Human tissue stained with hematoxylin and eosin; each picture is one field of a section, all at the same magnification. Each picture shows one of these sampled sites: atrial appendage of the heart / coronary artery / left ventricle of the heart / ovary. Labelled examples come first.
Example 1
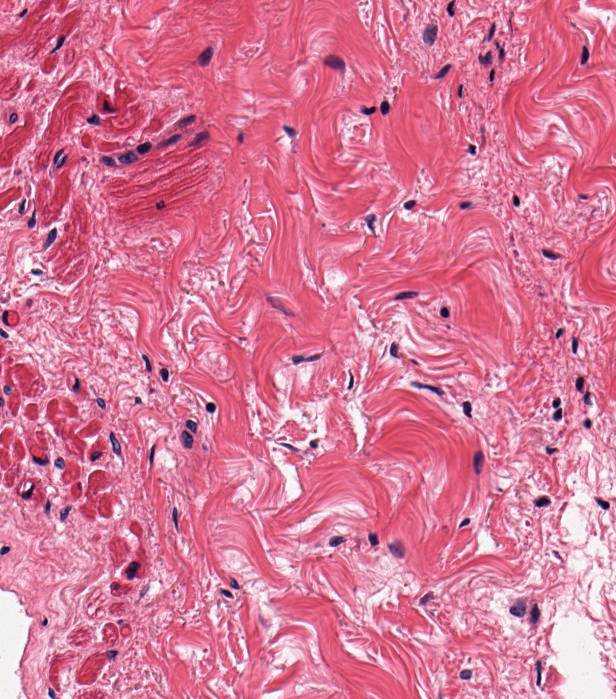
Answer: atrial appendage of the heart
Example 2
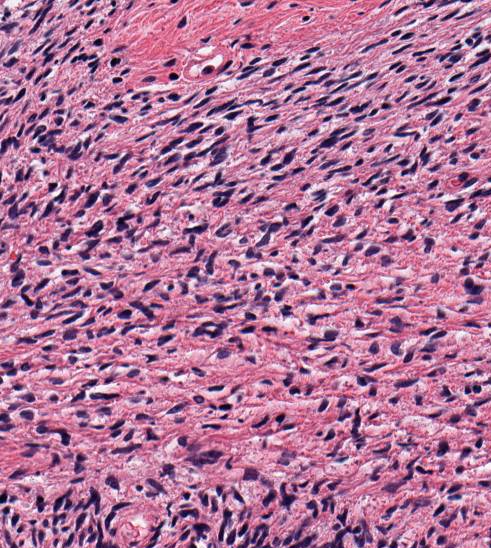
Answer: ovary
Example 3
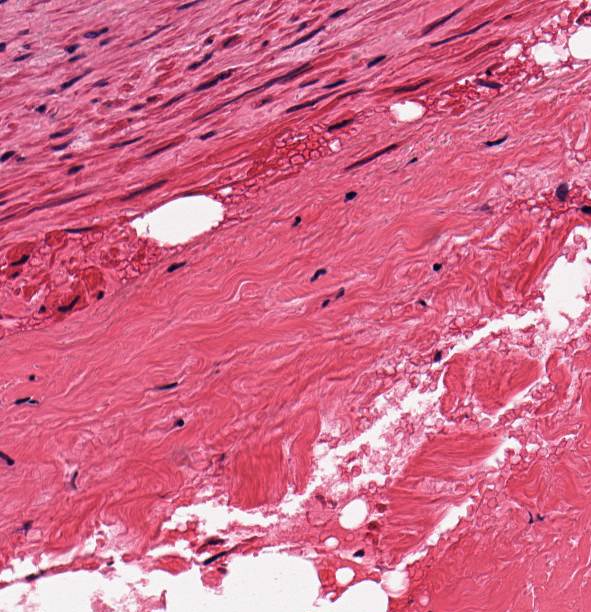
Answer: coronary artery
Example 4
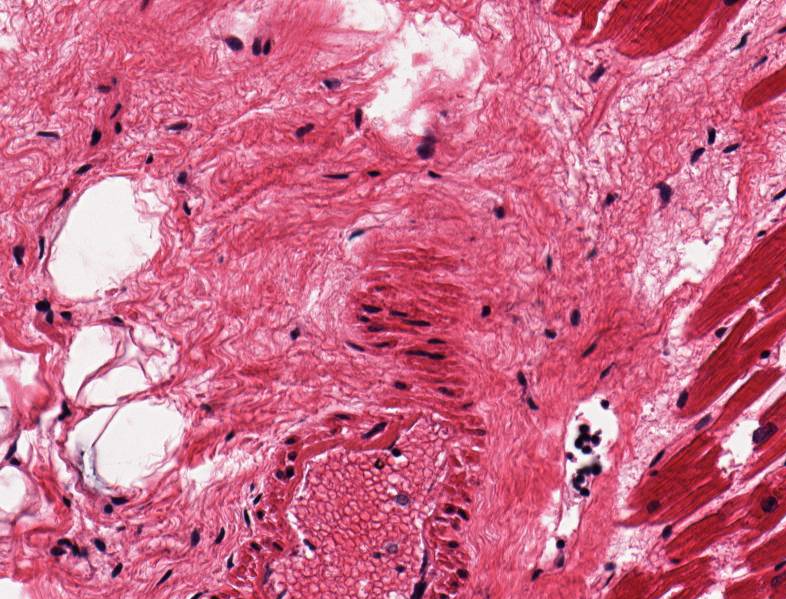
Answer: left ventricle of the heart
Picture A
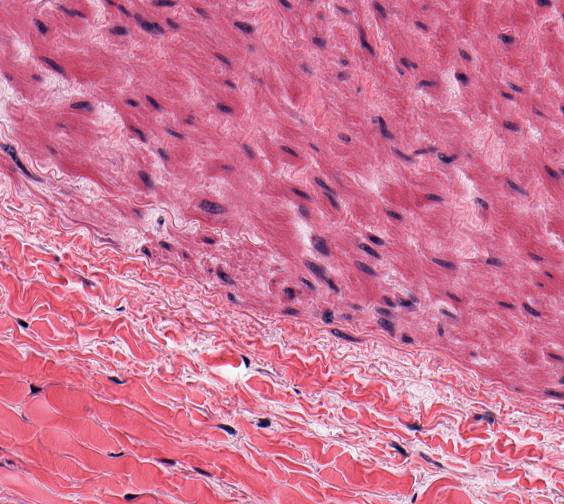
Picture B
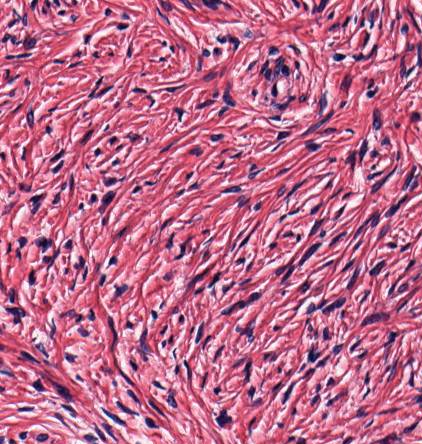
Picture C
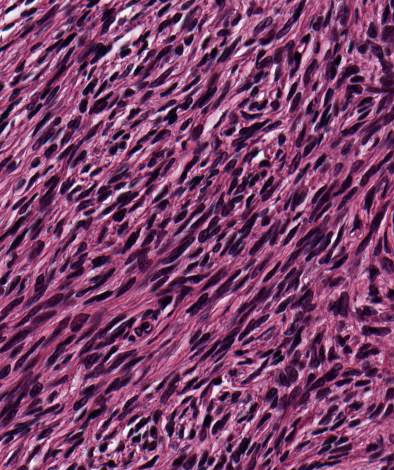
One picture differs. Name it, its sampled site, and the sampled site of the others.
Exception: A, showing coronary artery. Remaining pictures: ovary.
